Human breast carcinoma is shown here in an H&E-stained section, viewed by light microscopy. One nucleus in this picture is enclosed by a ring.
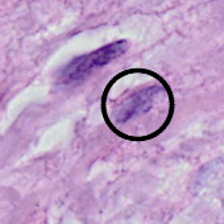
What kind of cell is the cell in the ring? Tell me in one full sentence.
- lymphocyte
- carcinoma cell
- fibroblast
In this section of tissue, the cell in the ring is a fibroblast.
